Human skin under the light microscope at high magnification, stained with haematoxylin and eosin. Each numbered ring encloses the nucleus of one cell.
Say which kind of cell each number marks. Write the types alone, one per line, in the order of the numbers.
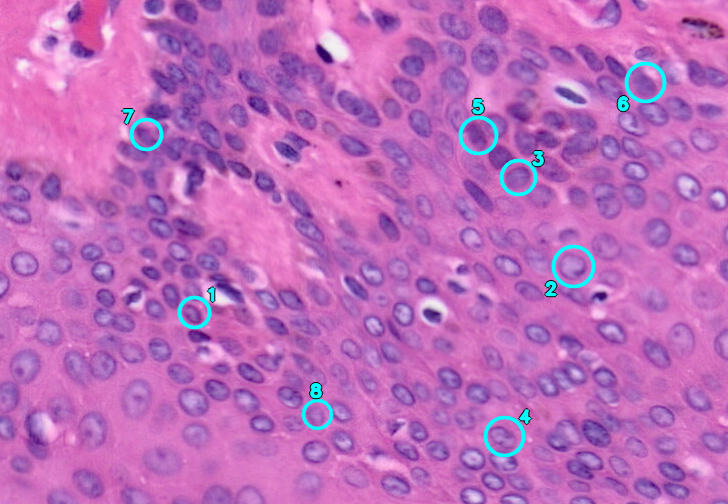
basal keratinocyte
suprabasal keratinocyte
basal keratinocyte
suprabasal keratinocyte
basal keratinocyte
basal keratinocyte
basal keratinocyte
suprabasal keratinocyte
